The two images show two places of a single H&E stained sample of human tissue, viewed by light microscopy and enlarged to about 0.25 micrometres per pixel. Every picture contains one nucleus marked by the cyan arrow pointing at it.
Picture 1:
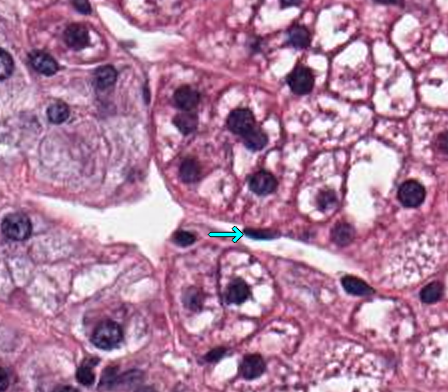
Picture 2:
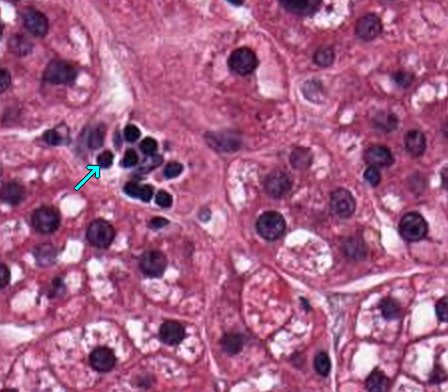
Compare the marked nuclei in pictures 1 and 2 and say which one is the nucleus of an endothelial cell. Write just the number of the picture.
1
